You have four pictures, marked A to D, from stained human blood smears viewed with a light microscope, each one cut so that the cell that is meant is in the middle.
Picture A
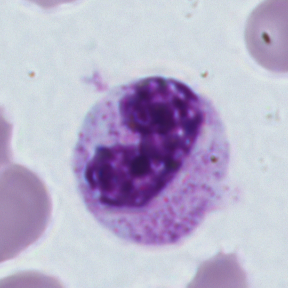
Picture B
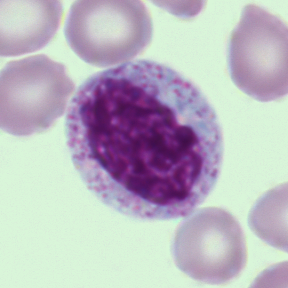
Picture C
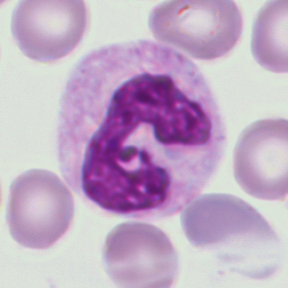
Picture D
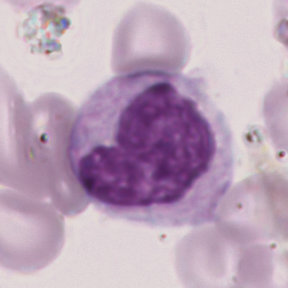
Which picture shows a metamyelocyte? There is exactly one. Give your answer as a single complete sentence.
The metamyelocyte is the one in picture B.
